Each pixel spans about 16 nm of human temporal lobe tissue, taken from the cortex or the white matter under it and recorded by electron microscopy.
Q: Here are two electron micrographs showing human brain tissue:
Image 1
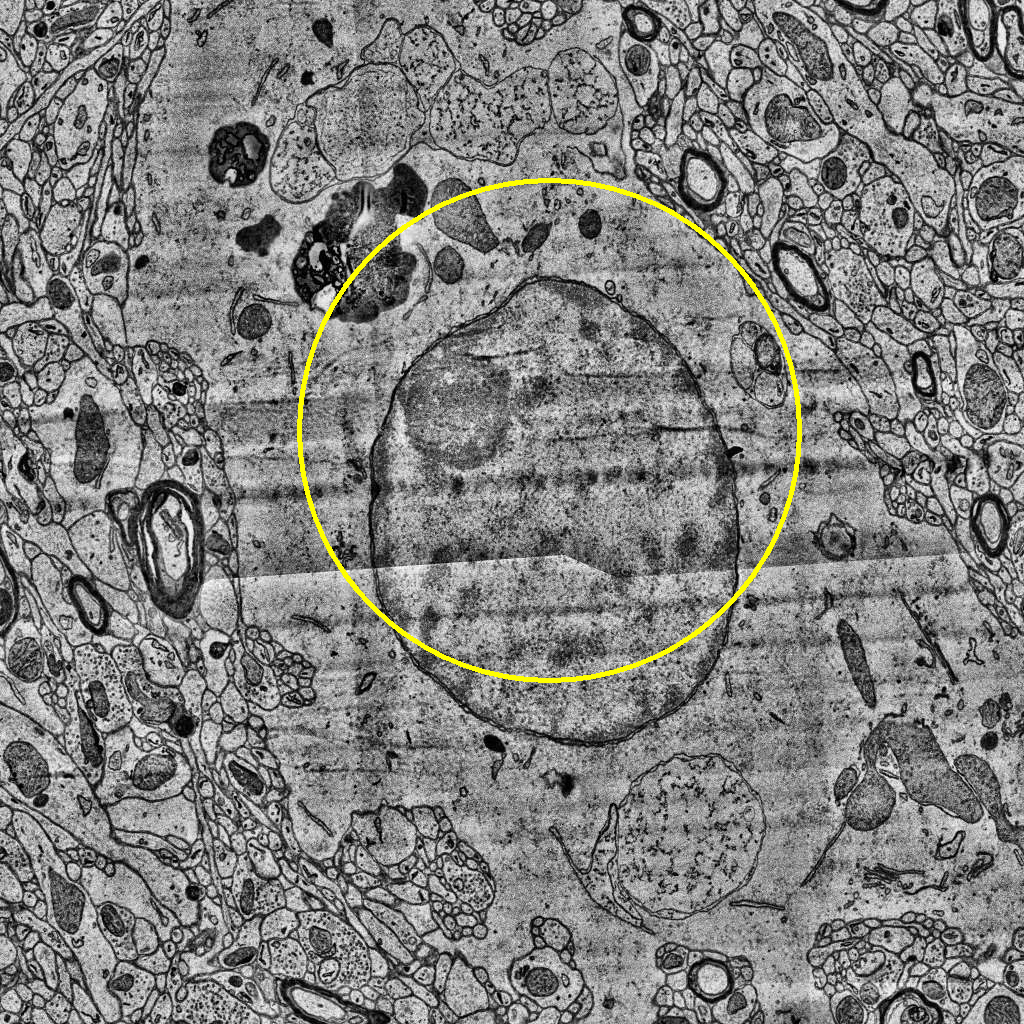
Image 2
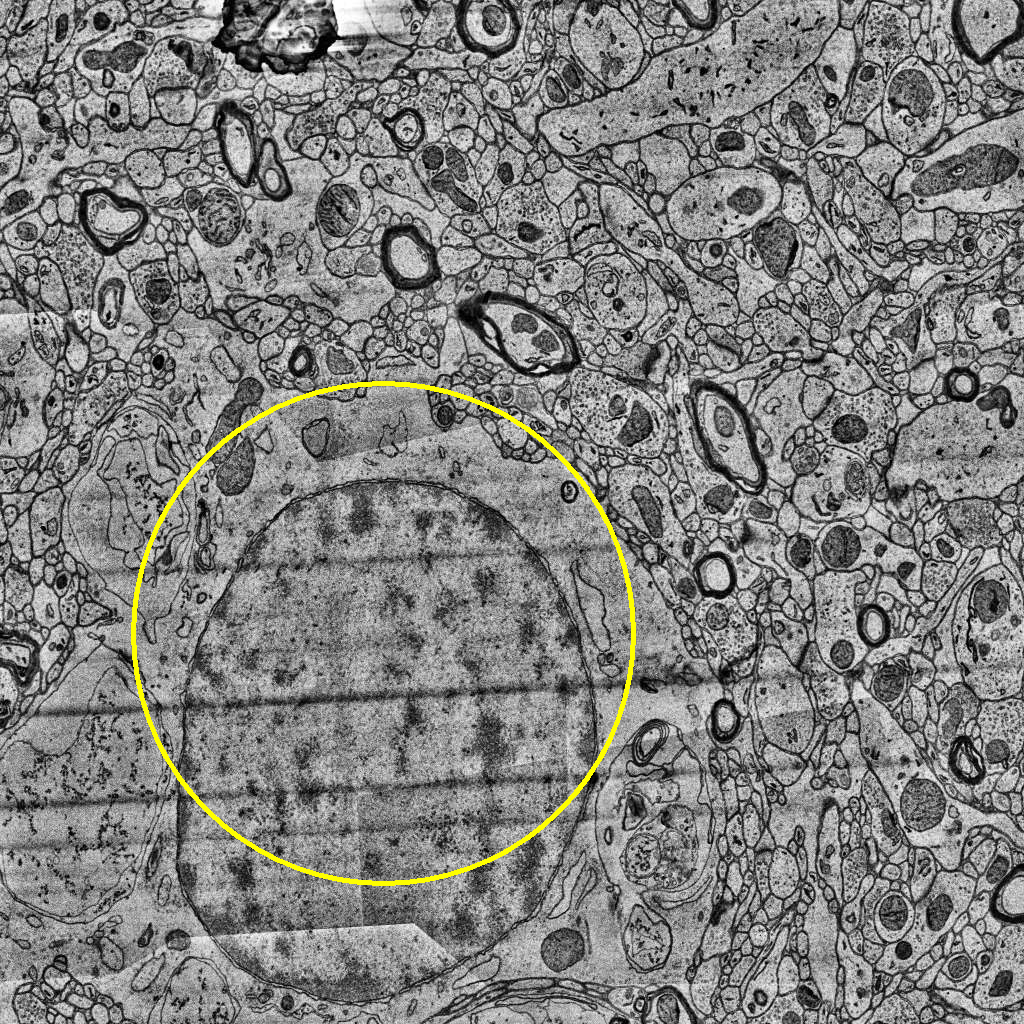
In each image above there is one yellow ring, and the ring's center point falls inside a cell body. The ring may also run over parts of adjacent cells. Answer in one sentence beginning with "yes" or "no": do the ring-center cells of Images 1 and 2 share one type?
Yes, in Images 1 and 2, the ring-center cells are both of one type.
